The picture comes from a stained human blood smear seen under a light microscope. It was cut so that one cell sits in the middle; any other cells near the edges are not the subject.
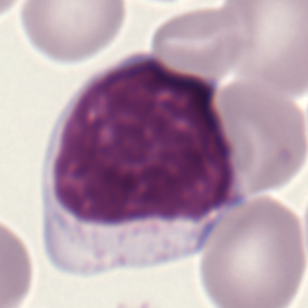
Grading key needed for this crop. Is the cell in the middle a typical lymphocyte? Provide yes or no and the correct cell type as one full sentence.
No, it is not a typical lymphocyte that sits at the centre but a large granular lymphocyte.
